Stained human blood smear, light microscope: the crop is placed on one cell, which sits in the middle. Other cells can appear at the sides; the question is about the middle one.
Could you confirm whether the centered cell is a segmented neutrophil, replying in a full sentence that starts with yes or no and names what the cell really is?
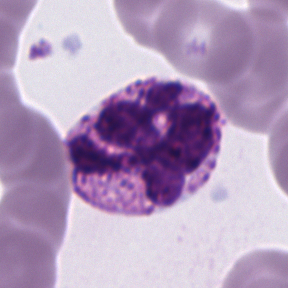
No, not a segmented neutrophil: the cell in the middle of this crop is a basophil.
